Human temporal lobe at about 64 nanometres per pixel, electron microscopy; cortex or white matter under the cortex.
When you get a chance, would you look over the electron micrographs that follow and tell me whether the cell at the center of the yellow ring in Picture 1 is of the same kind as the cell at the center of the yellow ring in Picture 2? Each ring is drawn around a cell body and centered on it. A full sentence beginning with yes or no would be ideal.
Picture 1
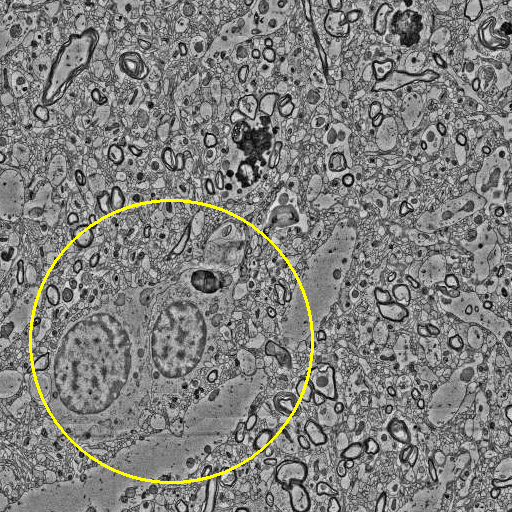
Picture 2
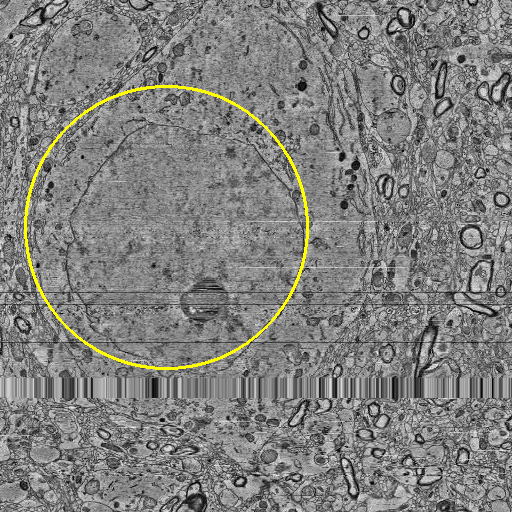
No, they are two kinds of cell.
